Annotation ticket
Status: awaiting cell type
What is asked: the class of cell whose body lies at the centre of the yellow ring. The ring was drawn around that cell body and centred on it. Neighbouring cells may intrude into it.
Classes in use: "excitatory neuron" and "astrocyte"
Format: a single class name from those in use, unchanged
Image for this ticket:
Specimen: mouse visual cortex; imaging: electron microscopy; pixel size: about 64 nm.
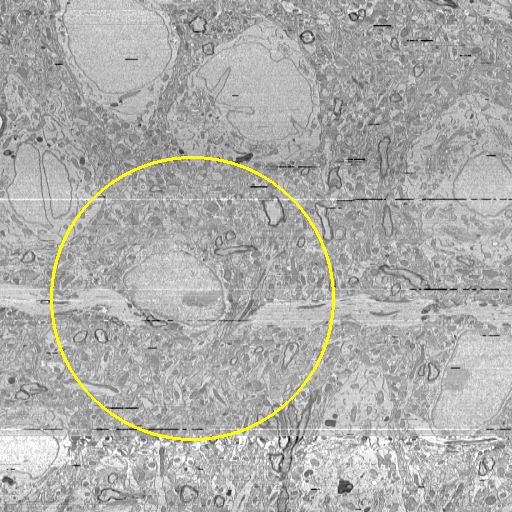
astrocyte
